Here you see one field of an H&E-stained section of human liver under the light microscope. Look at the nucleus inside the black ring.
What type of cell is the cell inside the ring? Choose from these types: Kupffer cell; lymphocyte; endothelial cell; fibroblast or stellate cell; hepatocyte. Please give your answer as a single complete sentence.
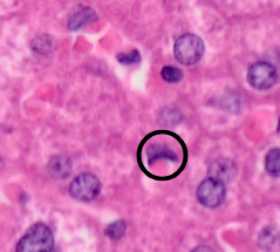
In terms of identity, the cell inside the ring is an endothelial cell.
